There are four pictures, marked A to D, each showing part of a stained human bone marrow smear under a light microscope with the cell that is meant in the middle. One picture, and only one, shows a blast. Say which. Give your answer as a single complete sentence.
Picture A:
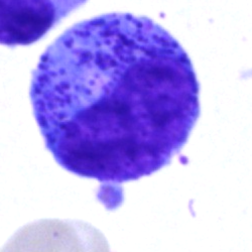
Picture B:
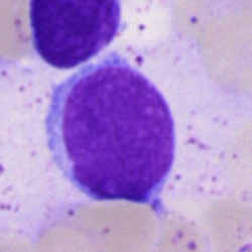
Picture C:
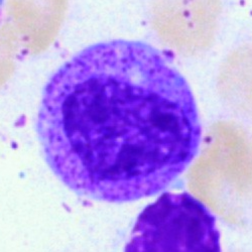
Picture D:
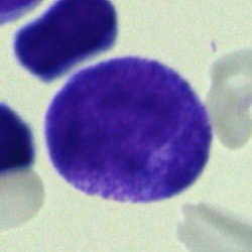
Picture B is the one that shows the blast.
